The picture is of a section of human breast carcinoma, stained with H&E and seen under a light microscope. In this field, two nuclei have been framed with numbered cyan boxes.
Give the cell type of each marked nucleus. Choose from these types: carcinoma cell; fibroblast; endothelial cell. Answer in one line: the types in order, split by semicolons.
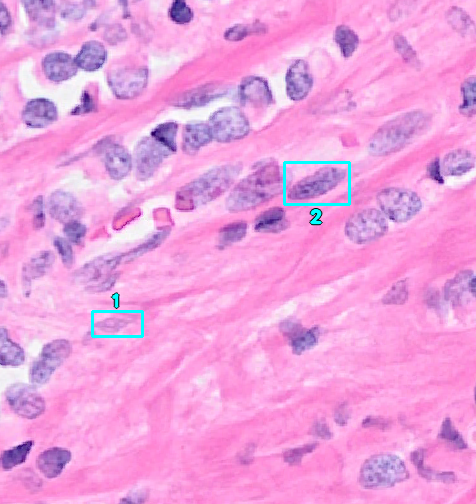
fibroblast; endothelial cell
